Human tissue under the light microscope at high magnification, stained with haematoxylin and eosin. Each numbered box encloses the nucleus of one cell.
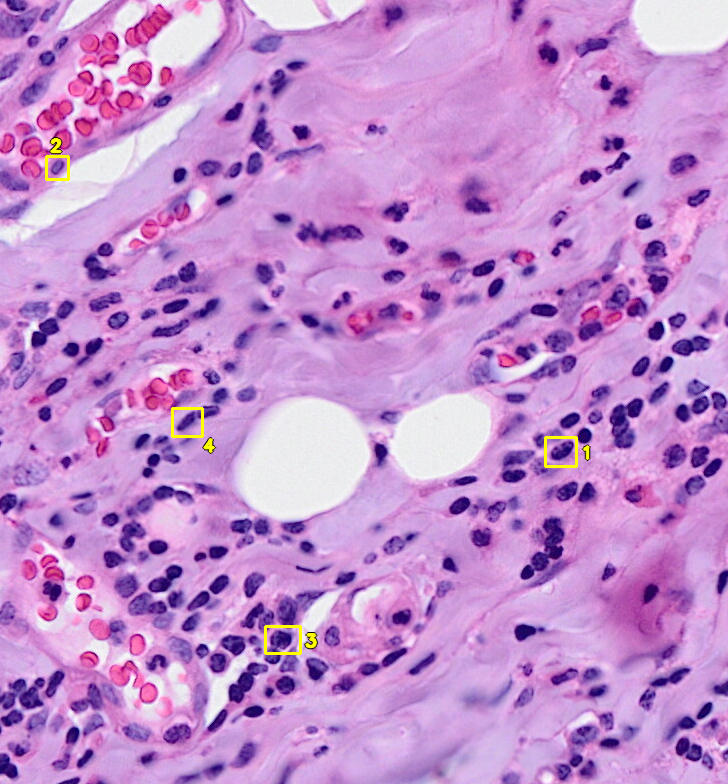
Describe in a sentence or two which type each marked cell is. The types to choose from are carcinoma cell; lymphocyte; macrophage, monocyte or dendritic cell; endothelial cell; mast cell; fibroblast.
Cells 1, 3 and 4 are lymphocytes. Cell 2 is an endothelial cell.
